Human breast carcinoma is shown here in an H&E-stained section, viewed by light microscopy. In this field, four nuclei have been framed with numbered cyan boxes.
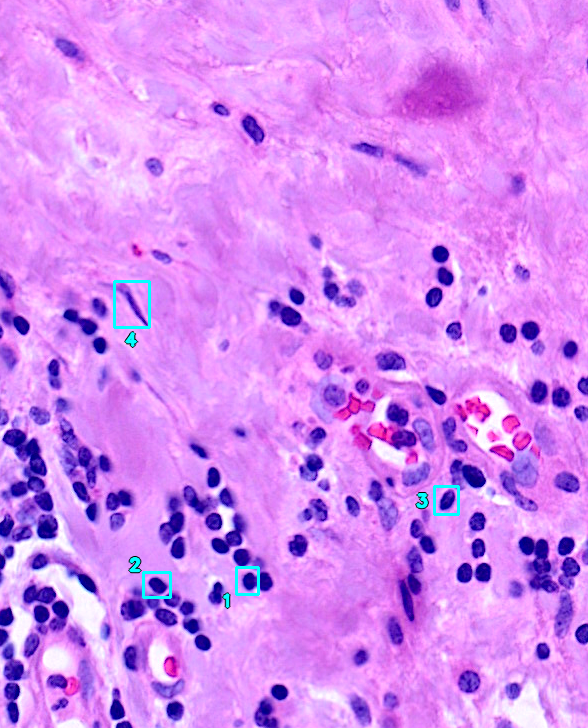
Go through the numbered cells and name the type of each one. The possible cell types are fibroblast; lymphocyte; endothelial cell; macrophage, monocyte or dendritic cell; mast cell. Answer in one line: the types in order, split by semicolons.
lymphocyte; lymphocyte; lymphocyte; fibroblast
